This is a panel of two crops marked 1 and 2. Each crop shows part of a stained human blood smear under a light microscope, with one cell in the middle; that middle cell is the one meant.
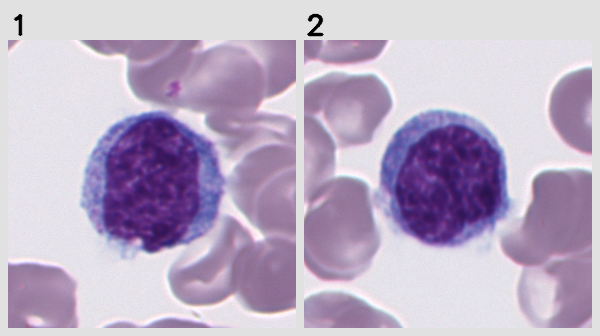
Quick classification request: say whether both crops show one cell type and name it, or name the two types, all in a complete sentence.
Yes, the cells under consideration in both crops are monocytes.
